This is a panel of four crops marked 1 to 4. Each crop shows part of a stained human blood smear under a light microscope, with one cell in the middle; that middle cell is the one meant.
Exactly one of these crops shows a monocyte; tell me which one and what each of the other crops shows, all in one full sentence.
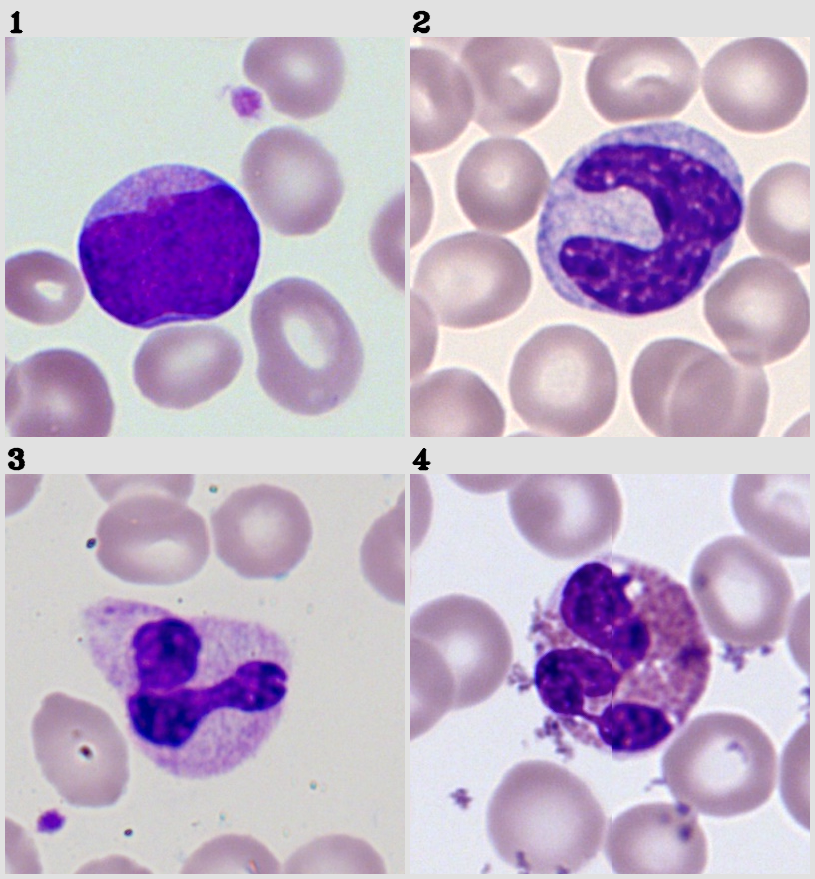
Crop 2 contains a monocyte; meanwhile, crop 1 is a blast, crop 3 is a neutrophil and crop 4 is an eosinophil.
